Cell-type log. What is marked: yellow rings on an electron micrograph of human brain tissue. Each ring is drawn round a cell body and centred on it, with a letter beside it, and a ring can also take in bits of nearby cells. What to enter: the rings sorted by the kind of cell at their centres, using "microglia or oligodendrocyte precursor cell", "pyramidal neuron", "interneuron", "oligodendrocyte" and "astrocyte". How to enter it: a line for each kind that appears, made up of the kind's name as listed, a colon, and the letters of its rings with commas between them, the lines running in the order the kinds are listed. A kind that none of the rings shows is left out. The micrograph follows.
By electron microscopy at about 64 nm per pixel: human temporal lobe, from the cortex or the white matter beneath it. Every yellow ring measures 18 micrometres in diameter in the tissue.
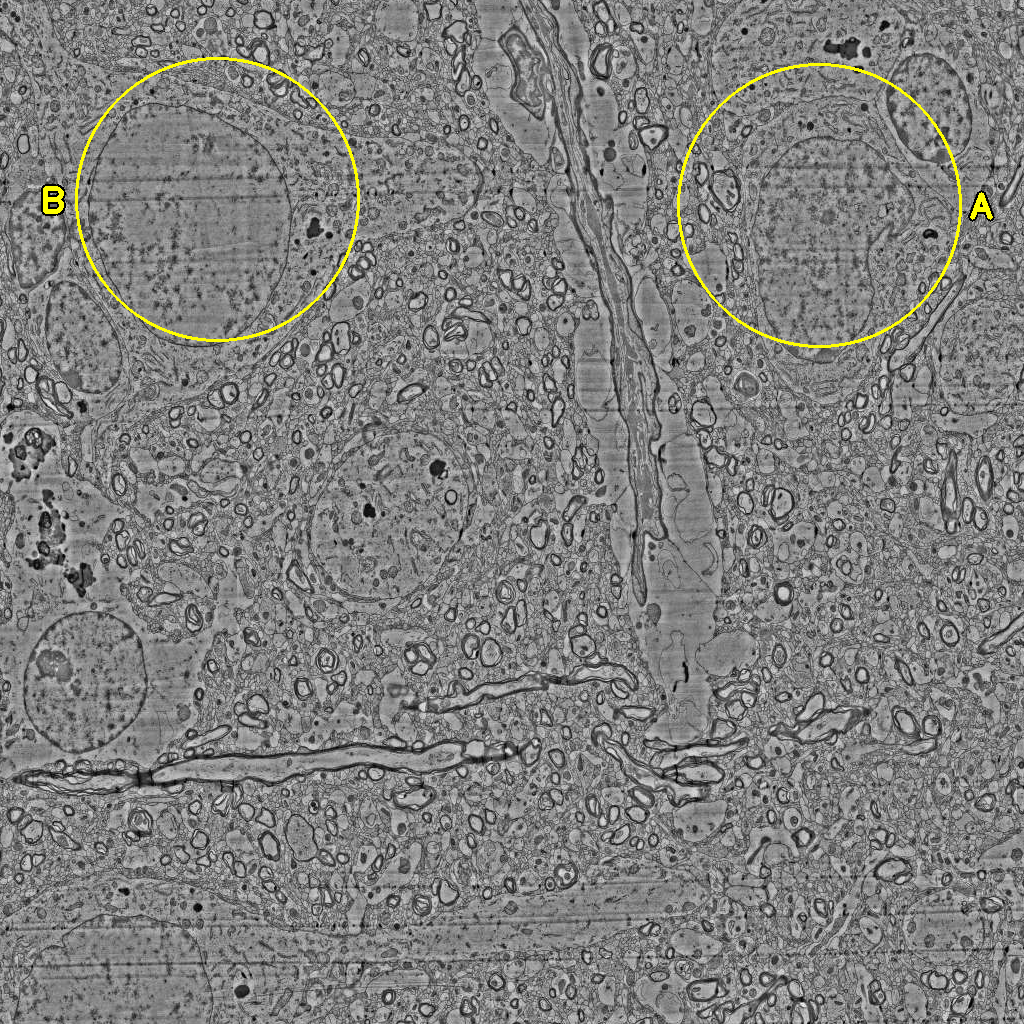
pyramidal neuron: B
interneuron: A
